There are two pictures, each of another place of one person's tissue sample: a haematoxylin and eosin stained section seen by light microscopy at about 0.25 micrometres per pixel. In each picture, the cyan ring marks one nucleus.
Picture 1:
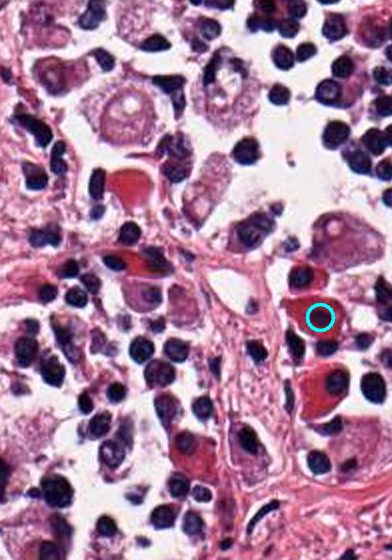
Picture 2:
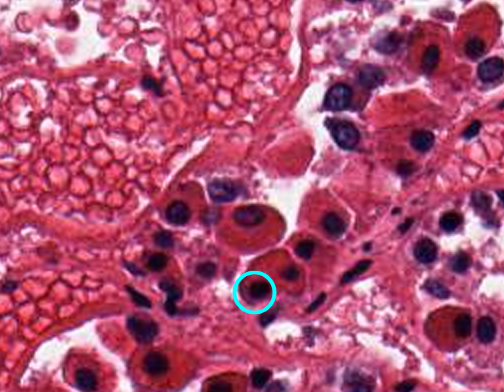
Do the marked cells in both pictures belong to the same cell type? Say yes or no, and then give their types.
Yes, both are anterior pituitary cells.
